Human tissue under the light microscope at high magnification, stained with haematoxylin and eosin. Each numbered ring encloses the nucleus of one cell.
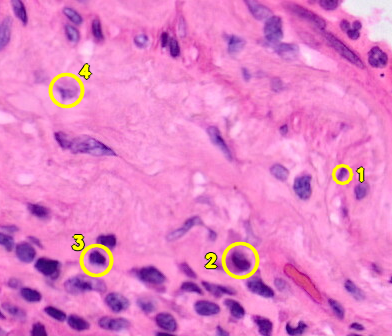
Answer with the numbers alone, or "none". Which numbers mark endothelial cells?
none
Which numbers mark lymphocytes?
3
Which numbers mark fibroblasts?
4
